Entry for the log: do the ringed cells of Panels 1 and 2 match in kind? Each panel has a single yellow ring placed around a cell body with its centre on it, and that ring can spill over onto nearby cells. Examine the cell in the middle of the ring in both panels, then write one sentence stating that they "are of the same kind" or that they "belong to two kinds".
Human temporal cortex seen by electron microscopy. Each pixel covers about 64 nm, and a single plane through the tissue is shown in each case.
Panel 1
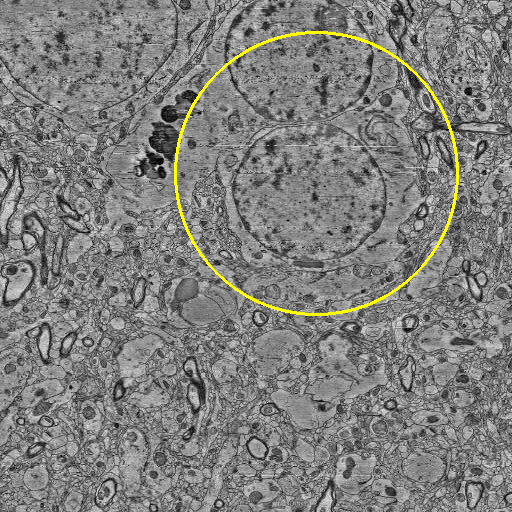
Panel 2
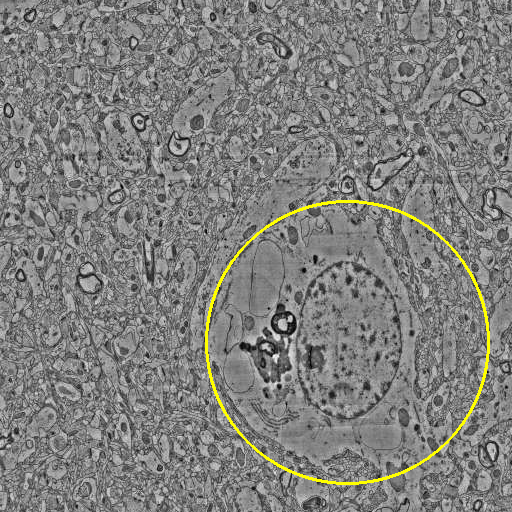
The centre cell of Panel 1's ring and that of Panel 2's ring are of the same kind.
